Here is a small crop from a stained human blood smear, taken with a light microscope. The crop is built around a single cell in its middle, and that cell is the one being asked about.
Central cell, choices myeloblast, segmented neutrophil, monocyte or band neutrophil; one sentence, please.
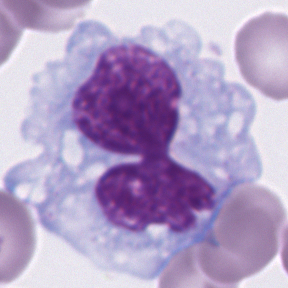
Here the cell in the middle is a monocyte.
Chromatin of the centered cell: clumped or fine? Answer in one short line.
The chromatin is fine; coarse clumps are not a feature here.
